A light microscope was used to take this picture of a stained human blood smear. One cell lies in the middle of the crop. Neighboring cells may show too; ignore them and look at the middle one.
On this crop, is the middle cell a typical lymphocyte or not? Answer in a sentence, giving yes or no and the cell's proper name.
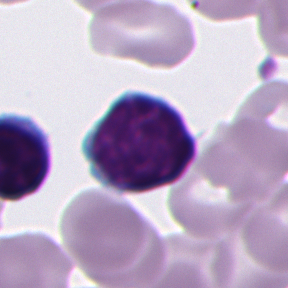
Yes, this crop has a typical lymphocyte at its centre.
